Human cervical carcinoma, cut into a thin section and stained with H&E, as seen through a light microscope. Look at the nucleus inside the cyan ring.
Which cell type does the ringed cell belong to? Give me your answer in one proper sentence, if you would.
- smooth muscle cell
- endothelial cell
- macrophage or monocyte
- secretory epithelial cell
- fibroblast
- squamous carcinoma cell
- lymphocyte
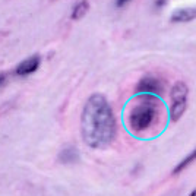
Among the cells in this section, the ringed cell is an endothelial cell.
